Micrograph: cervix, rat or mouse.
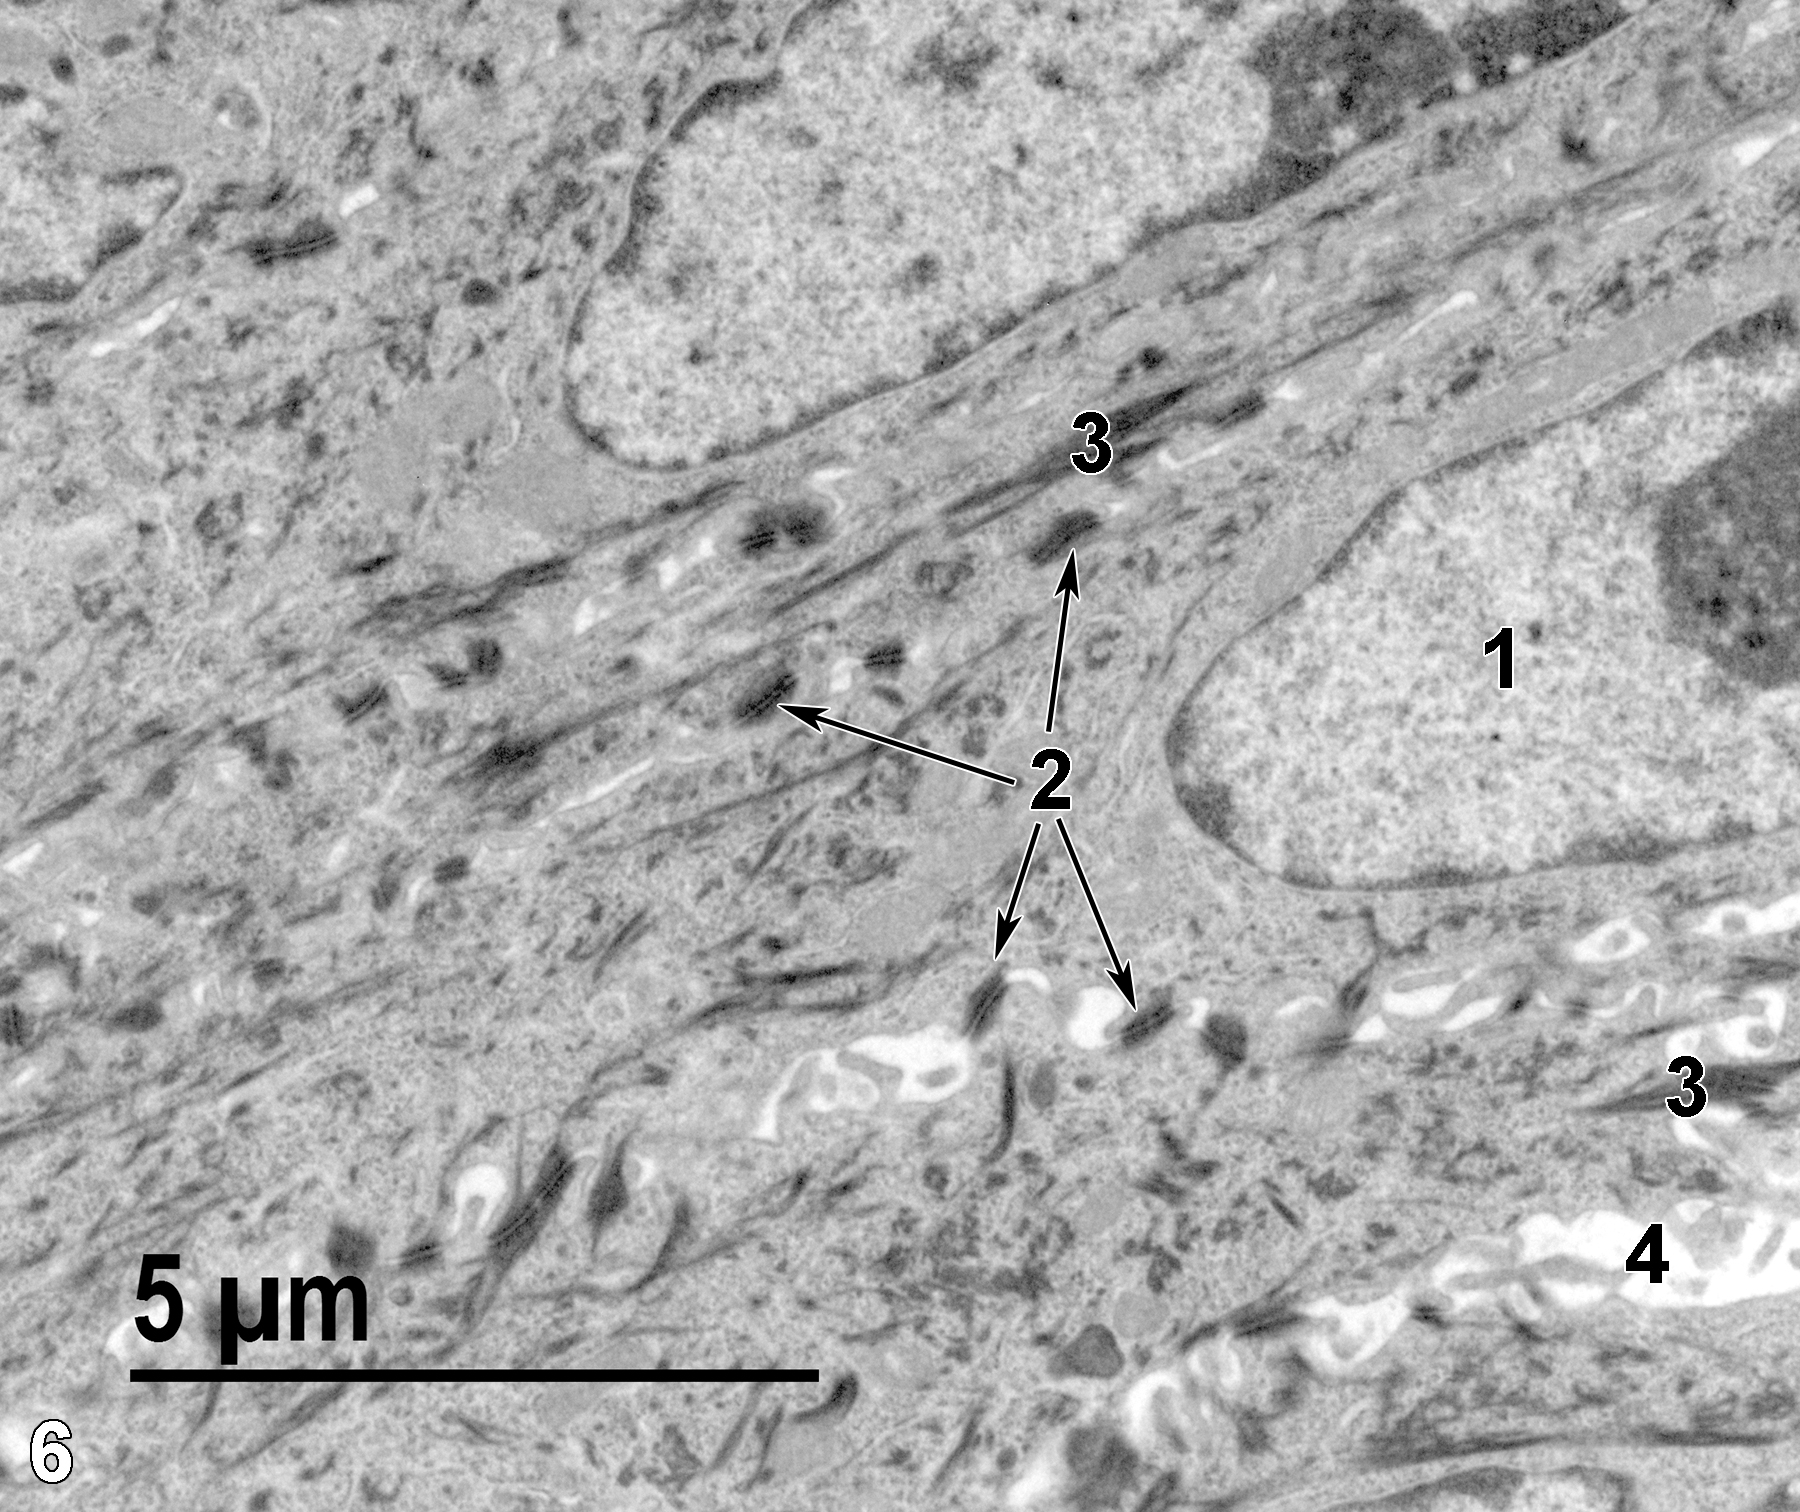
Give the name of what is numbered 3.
3 marks the bundles of tonofilaments.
